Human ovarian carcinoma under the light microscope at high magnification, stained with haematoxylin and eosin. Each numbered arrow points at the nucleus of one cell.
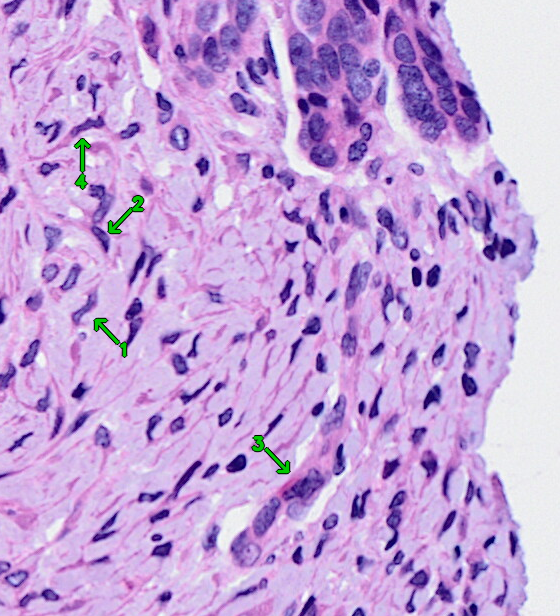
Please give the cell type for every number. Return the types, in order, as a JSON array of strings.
["fibroblast", "fibroblast", "endothelial cell", "fibroblast"]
